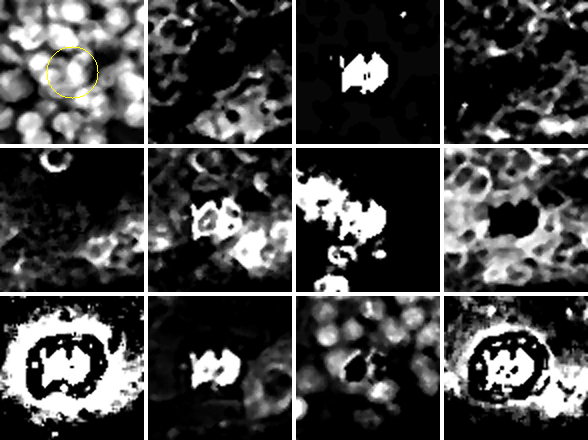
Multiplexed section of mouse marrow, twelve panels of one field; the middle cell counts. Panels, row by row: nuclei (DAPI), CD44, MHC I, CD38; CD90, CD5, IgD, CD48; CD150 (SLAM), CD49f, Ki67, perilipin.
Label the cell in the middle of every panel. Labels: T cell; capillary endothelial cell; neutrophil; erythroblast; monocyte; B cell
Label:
B cell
